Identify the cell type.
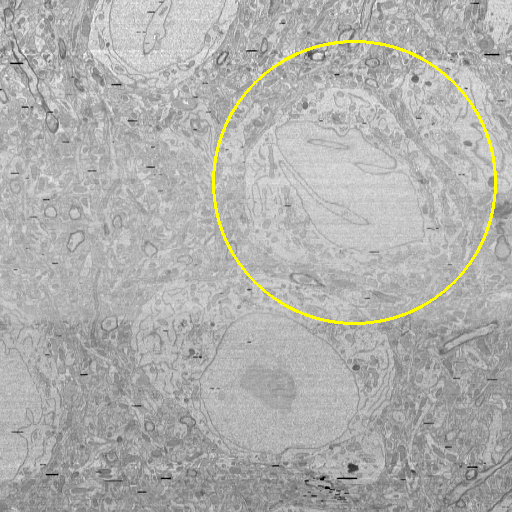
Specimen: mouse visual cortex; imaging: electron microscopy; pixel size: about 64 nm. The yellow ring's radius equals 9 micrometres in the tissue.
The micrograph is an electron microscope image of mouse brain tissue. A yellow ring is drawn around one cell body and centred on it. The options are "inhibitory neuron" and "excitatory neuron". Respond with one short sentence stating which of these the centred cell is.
The cell body in the ring belongs to an inhibitory neuron.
